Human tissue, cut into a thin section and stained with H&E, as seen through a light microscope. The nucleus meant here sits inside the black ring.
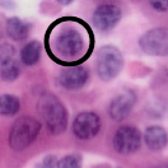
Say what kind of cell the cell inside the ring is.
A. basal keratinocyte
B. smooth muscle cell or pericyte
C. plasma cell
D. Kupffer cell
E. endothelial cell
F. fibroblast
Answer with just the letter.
C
